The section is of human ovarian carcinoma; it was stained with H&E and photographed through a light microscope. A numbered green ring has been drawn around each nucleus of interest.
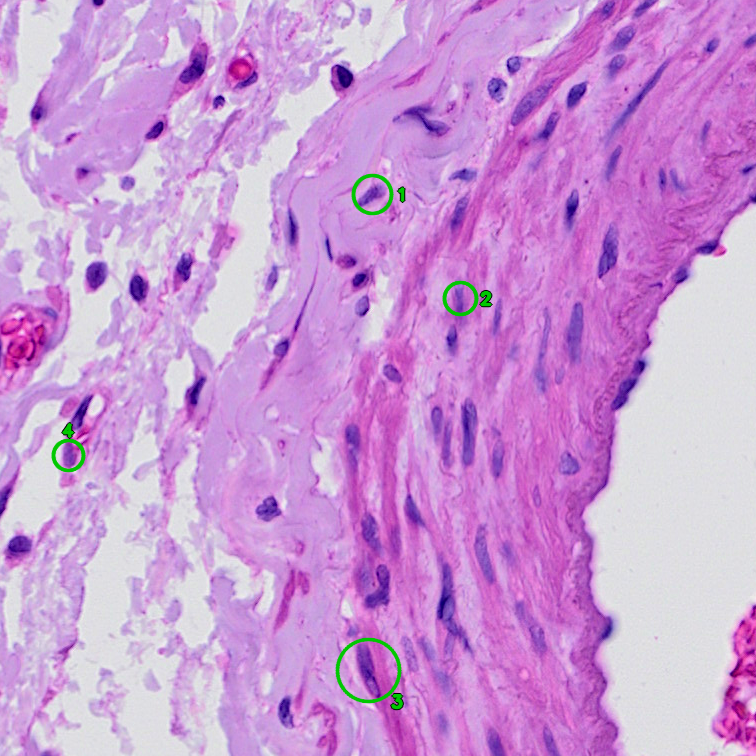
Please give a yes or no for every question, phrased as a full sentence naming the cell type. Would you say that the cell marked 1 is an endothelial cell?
No, the correct answer for cell 1 is a fibroblast, not an endothelial cell.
